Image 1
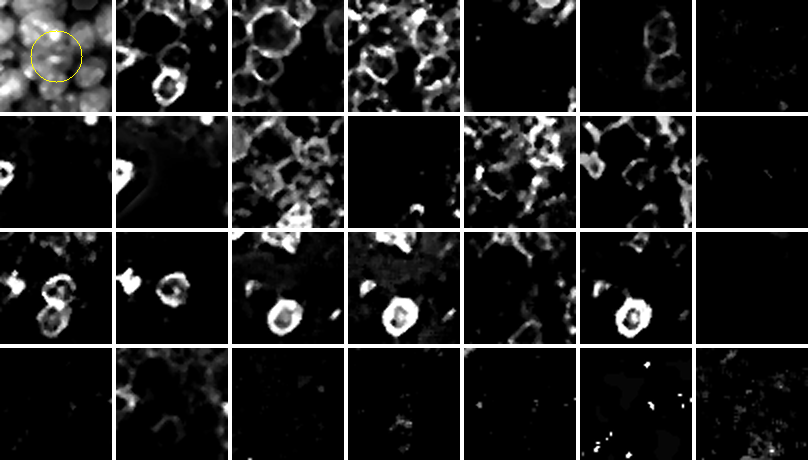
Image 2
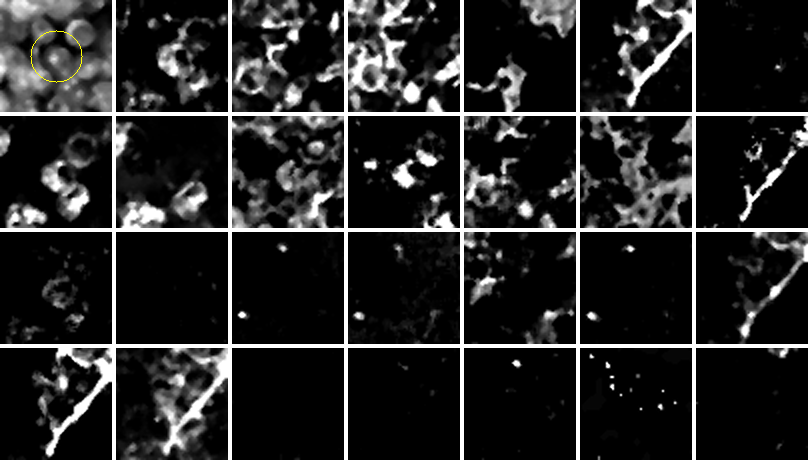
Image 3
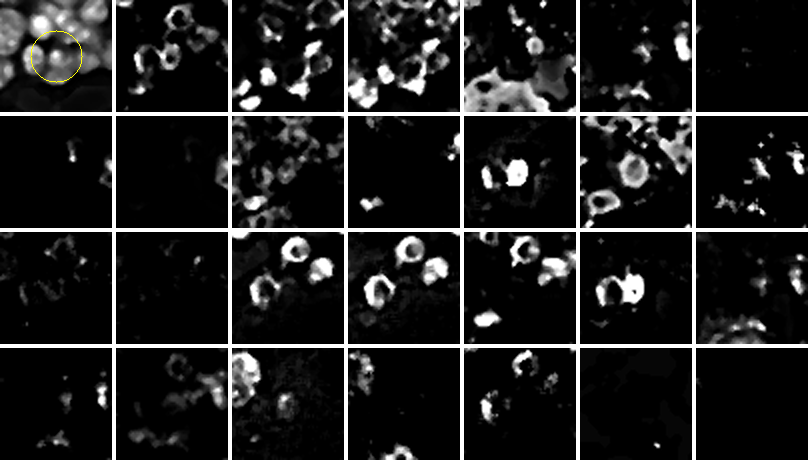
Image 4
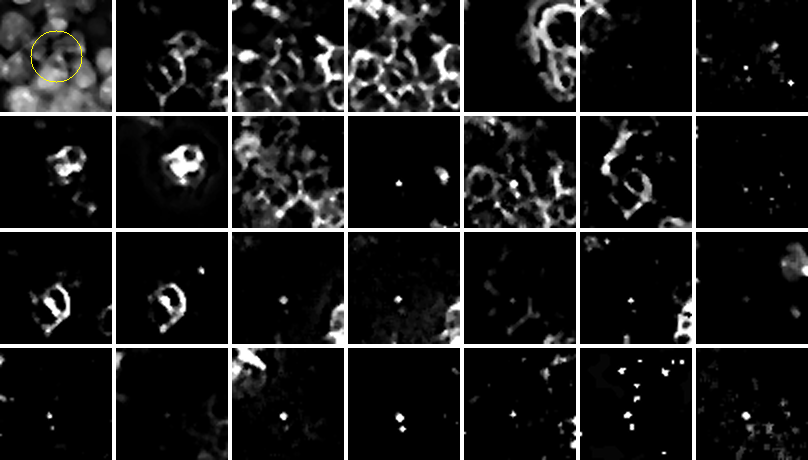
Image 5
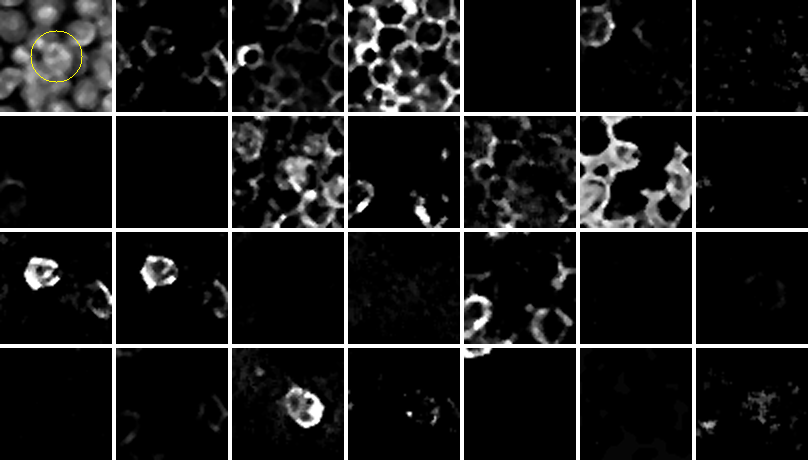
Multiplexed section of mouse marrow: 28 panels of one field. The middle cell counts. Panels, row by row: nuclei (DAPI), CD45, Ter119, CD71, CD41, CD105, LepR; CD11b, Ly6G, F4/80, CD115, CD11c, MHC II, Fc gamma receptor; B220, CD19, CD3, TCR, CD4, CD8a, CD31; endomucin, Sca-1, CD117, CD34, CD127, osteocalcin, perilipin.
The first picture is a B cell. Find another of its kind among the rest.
Picture 4.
